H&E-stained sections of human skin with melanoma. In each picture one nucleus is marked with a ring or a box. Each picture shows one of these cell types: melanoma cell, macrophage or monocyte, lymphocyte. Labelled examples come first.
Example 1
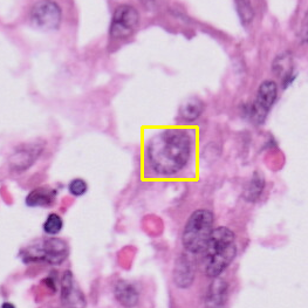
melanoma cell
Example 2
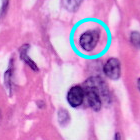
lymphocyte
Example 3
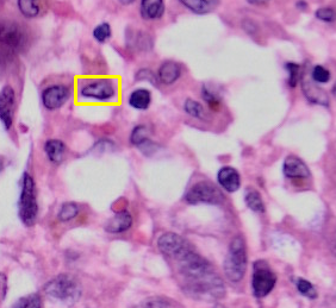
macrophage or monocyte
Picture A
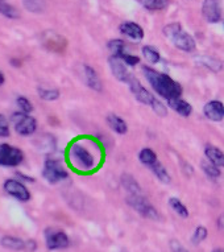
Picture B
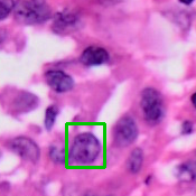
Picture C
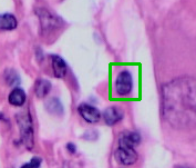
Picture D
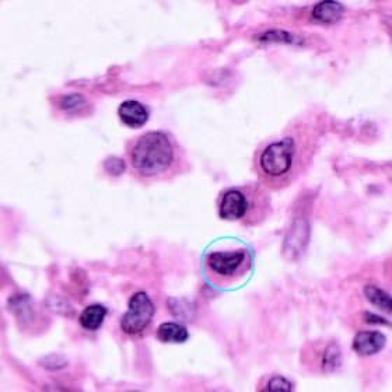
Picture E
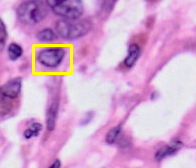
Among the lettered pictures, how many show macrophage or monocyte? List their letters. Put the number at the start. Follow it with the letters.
Count: 2 (D, E)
